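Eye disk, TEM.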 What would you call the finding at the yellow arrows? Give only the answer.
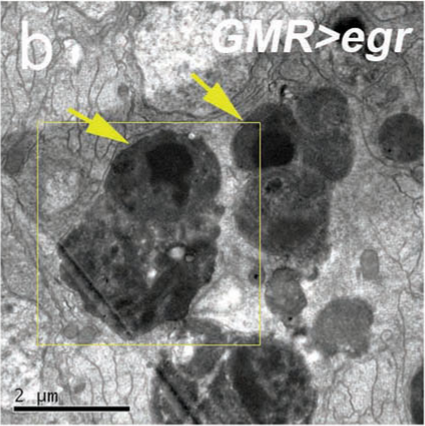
Chromatin condensation.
